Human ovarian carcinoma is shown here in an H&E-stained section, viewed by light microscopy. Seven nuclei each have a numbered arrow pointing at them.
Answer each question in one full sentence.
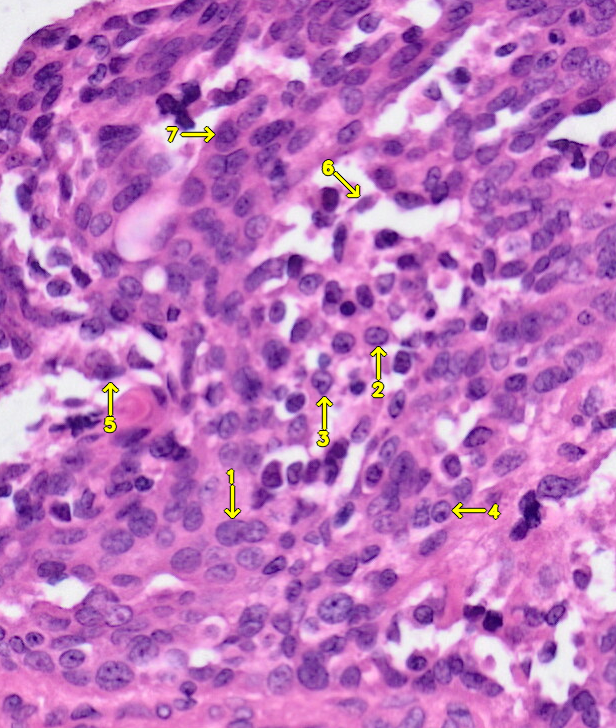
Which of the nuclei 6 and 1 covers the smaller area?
The smaller nucleus is 6, and 1 covers roughly 2.5 times its area.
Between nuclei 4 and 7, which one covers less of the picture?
Nucleus 4 is the smaller one; nucleus 7 covers about 1.5 times its area.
